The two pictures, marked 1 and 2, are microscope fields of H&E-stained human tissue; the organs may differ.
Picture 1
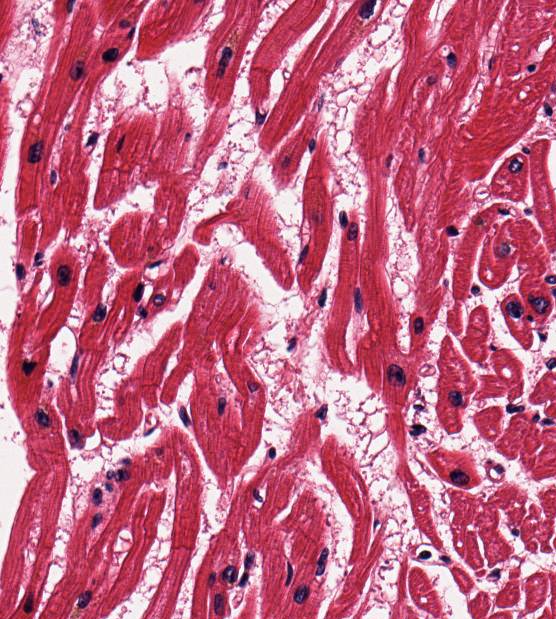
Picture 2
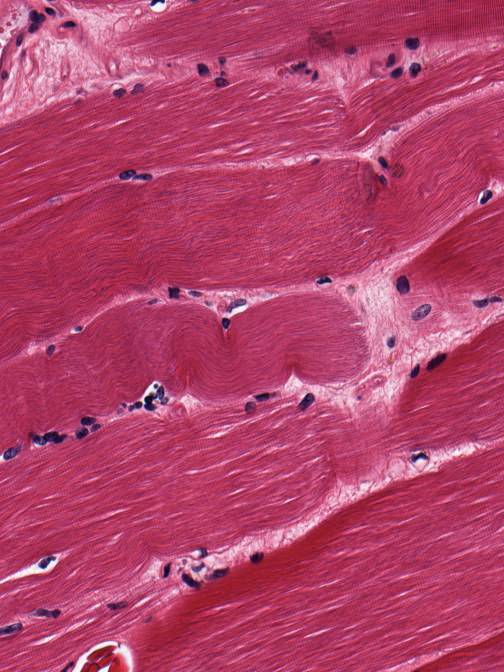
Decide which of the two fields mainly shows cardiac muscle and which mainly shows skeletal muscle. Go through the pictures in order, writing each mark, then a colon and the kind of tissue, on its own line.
1: cardiac muscle
2: skeletal muscle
